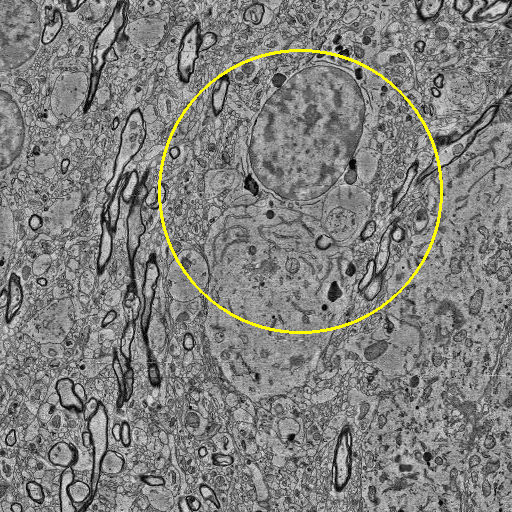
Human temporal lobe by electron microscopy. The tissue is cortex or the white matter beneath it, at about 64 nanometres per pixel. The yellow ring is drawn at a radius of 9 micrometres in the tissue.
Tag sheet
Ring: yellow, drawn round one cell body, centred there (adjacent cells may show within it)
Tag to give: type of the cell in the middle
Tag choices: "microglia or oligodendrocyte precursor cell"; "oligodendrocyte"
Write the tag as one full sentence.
I tag the cell centred in the yellow ring as a microglial cell or oligodendrocyte precursor cell in this picture.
